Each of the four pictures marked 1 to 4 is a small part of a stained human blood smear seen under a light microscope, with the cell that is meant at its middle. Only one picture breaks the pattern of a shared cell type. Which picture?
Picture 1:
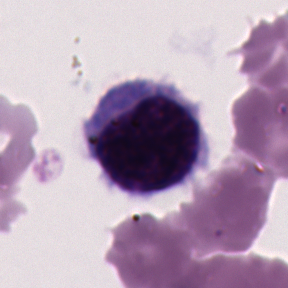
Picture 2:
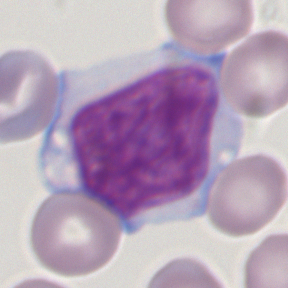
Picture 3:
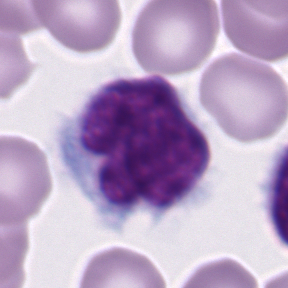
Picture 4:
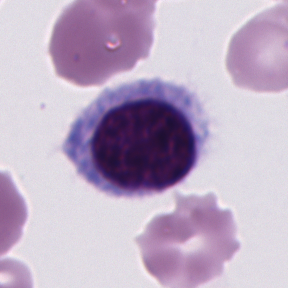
2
